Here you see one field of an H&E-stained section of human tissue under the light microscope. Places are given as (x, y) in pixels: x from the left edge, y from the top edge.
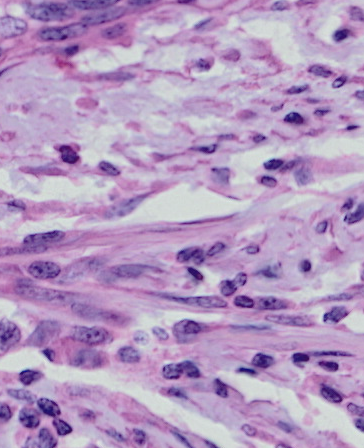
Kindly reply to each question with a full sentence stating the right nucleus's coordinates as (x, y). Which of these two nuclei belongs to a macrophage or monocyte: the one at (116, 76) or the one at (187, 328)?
The nucleus located at (187, 328) is the one held within a macrophage or monocyte.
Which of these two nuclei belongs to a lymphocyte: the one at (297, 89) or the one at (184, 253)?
The one at (184, 253) is the nucleus belonging to a lymphocyte, not the other one.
